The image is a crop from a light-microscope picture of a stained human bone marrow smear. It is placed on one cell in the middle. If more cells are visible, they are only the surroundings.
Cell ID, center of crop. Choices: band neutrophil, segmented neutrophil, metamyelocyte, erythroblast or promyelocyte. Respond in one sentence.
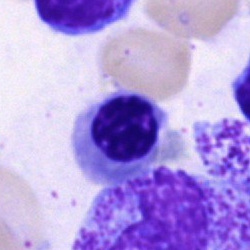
The cell marked by its central position in the crop is an erythroblast.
